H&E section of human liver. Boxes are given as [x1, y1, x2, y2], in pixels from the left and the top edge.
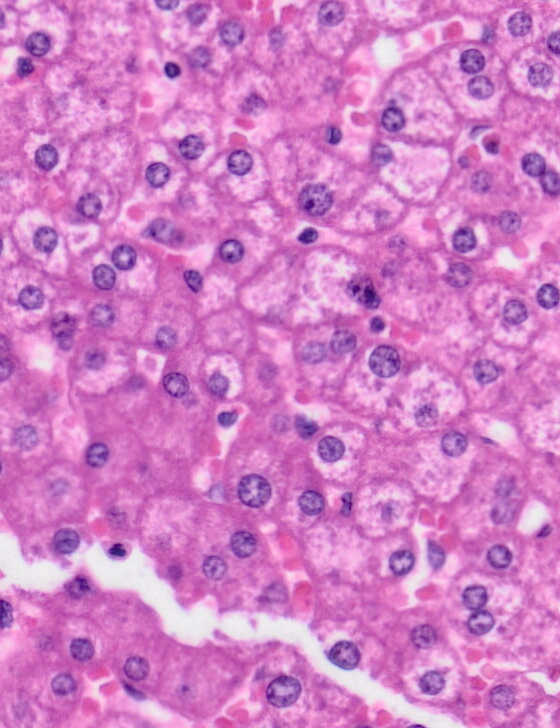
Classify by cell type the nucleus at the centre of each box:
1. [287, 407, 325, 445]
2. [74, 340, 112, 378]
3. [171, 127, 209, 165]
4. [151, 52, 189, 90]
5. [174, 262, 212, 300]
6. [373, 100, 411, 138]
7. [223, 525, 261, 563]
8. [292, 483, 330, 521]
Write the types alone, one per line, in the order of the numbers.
endothelial cell
hepatocyte
hepatocyte
lymphocyte
fibroblast or stellate cell
hepatocyte
hepatocyte
hepatocyte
